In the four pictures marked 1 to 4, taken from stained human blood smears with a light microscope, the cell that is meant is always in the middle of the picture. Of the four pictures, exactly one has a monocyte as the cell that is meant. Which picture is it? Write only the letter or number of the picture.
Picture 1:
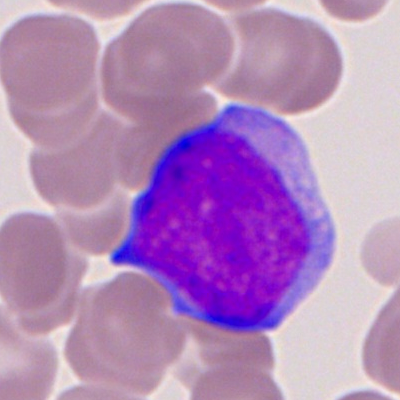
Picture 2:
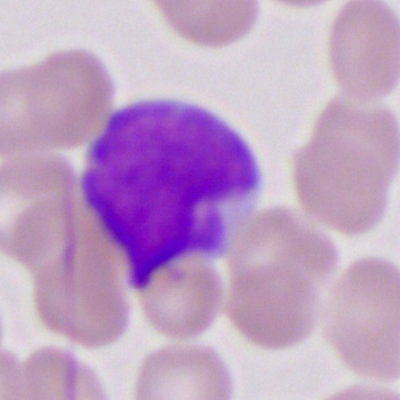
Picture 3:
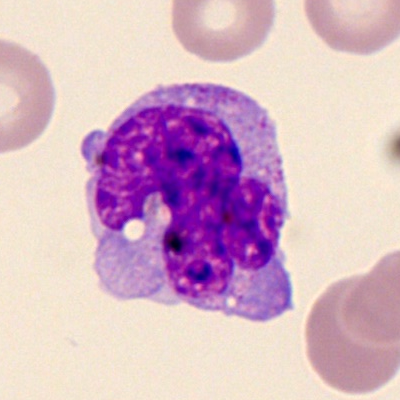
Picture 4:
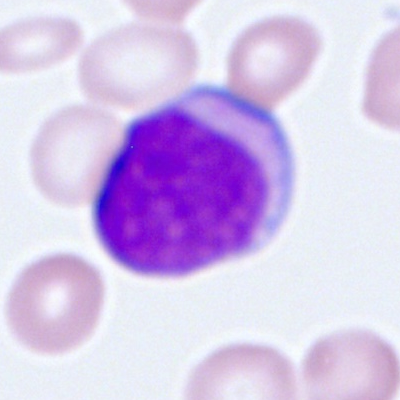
3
